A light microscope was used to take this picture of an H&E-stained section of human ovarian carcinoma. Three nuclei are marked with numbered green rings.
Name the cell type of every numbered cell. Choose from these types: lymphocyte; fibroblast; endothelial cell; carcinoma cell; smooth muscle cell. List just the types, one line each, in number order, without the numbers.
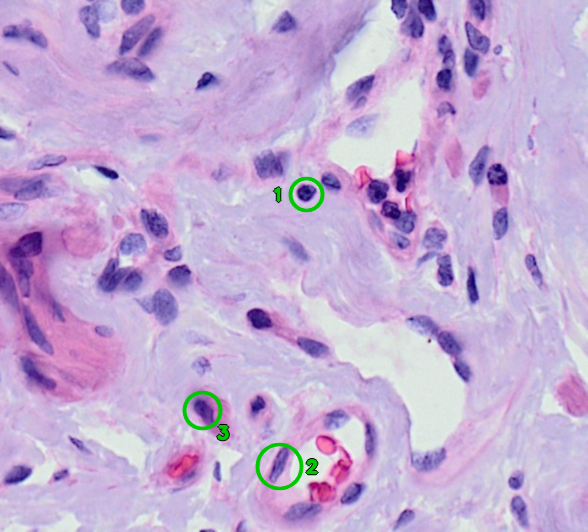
lymphocyte
endothelial cell
smooth muscle cell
